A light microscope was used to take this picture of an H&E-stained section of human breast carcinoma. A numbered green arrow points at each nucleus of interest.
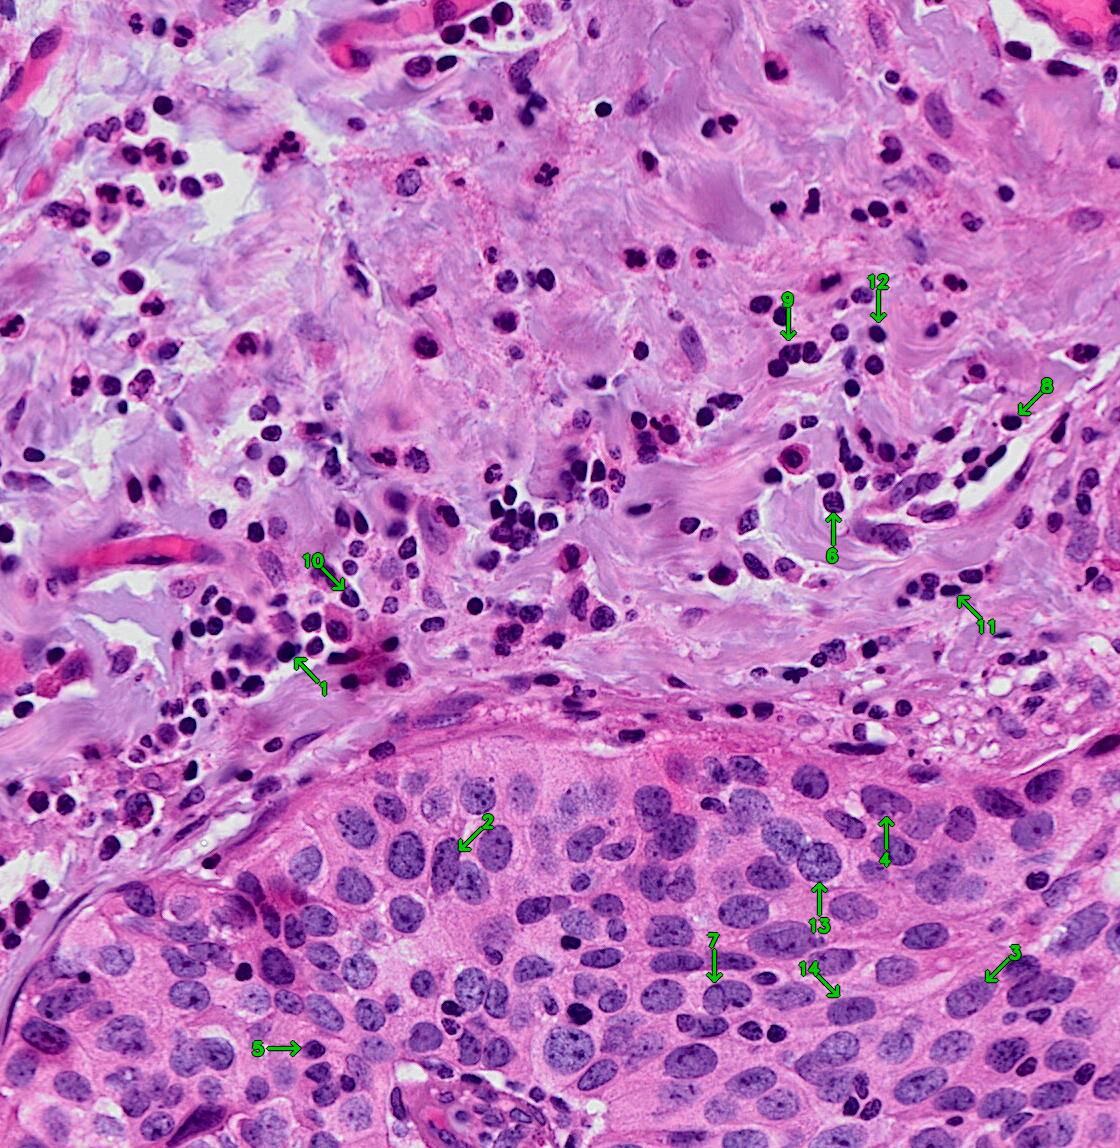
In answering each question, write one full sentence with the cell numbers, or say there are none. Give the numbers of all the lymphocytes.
The cells with labels 1, 5, 6, 8, 9, 10, 11 and 12 are lymphocytes.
